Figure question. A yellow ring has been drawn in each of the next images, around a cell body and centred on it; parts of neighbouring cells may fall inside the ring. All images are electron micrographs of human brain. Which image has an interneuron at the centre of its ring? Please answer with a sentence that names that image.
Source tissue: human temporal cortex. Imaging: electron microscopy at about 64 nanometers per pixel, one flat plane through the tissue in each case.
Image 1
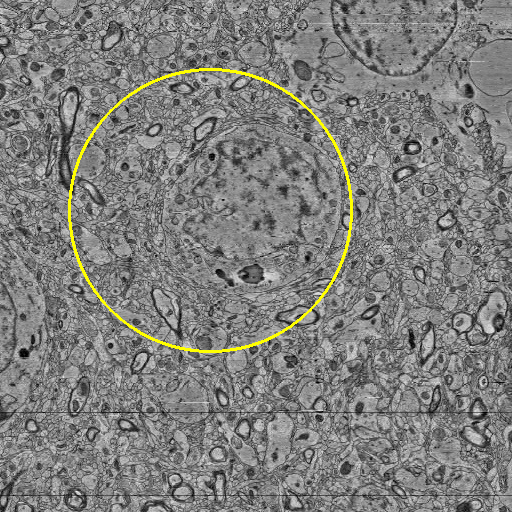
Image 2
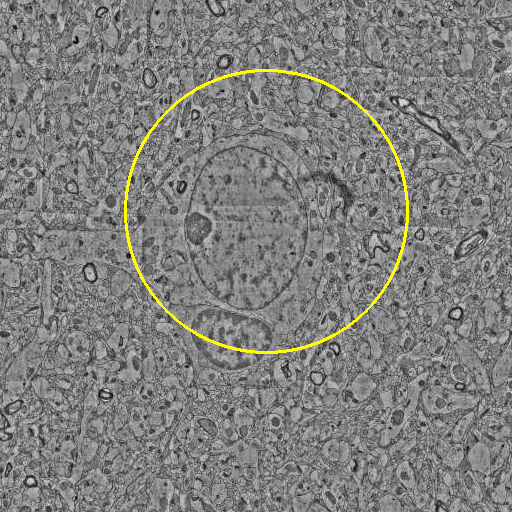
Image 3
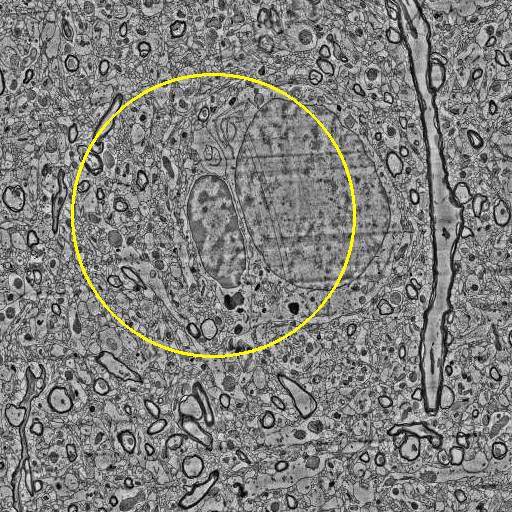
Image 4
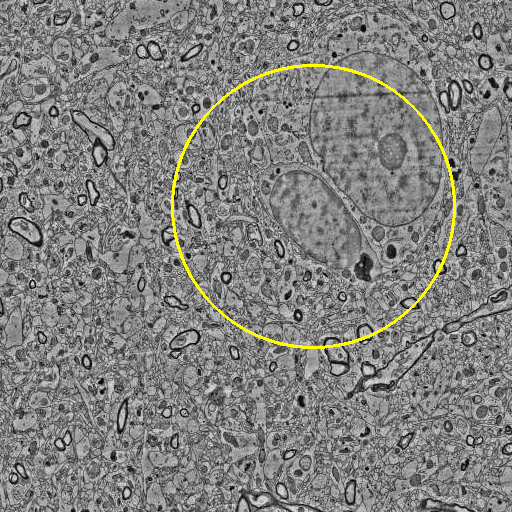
The cell at the centre of the ring in Image 1 is of that kind.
